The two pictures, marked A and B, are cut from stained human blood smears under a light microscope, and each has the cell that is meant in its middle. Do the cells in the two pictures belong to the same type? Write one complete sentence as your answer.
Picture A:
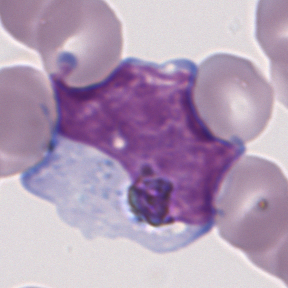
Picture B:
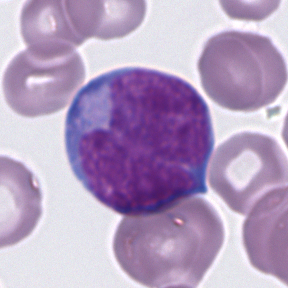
Yes, both are myeloblasts.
